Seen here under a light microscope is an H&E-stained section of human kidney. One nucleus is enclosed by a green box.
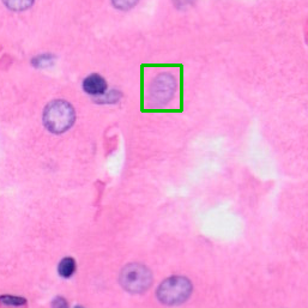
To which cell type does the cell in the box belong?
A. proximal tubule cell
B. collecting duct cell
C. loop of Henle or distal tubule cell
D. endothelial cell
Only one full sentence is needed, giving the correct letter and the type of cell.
Here the right answer is A, with the cell in the box being a proximal tubule cell.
